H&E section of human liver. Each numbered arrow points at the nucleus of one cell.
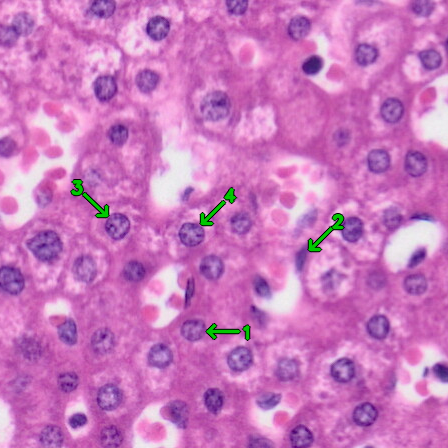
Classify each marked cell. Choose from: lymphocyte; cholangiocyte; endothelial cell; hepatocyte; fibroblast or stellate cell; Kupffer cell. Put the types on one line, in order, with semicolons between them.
hepatocyte; fibroblast or stellate cell; hepatocyte; hepatocyte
